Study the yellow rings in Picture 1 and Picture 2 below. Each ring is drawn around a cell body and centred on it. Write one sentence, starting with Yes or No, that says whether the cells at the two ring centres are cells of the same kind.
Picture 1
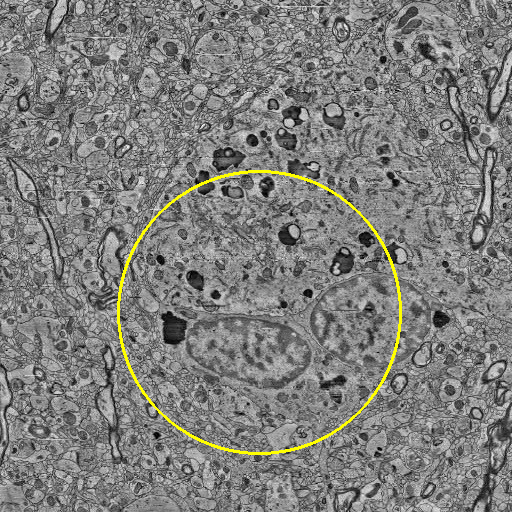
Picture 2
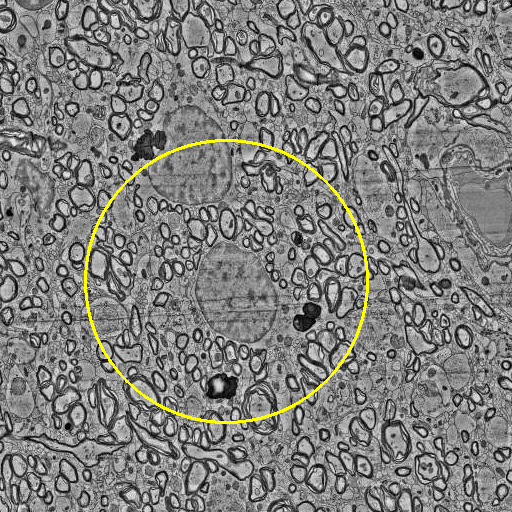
Yes, the cells at both ring centres are of the same kind.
